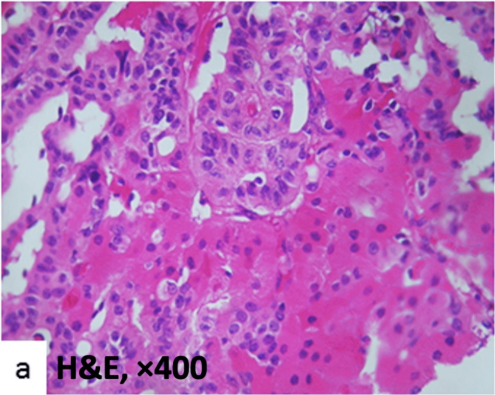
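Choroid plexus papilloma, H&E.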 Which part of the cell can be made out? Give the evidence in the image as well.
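Many cells have abundant bright pink cytoplasm. Nuclei are small, round and dark.
Hence: eosinophilic cytoplasm.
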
